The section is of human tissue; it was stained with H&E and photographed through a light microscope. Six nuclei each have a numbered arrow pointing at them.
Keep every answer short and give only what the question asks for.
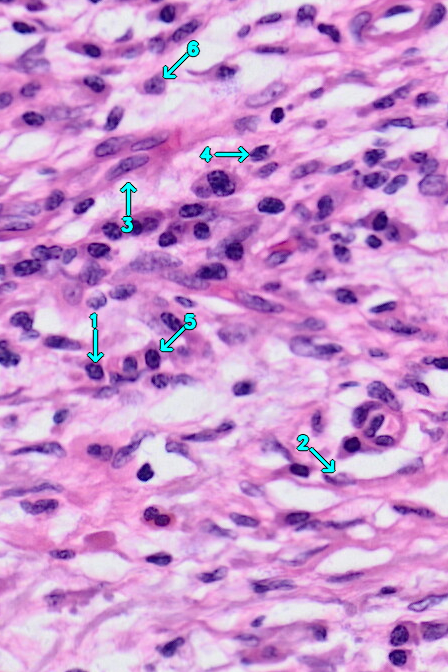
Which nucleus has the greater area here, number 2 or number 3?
3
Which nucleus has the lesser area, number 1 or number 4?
4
